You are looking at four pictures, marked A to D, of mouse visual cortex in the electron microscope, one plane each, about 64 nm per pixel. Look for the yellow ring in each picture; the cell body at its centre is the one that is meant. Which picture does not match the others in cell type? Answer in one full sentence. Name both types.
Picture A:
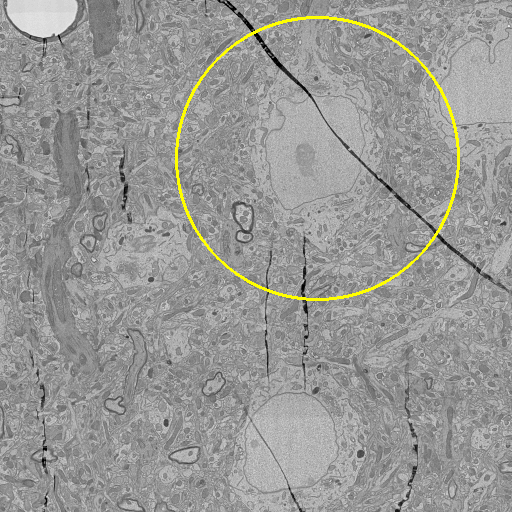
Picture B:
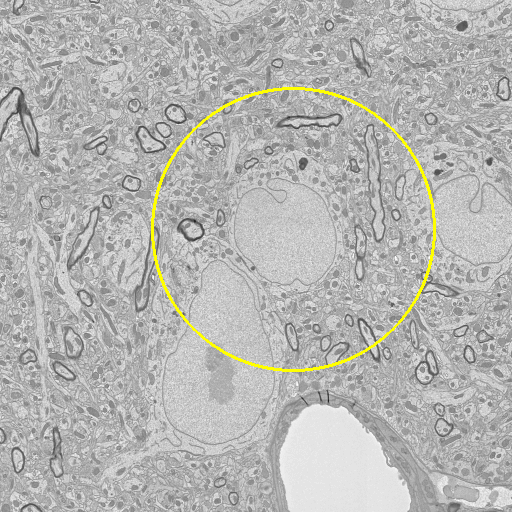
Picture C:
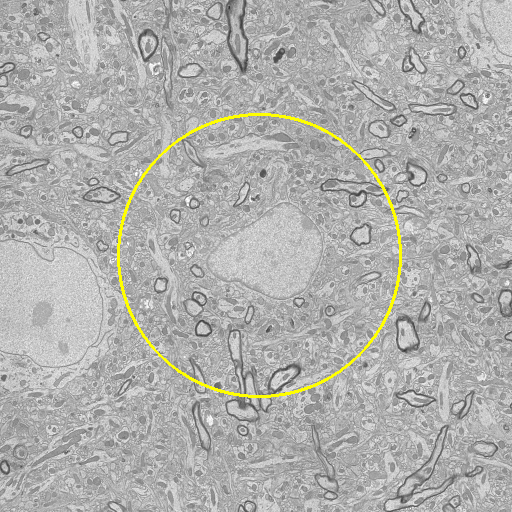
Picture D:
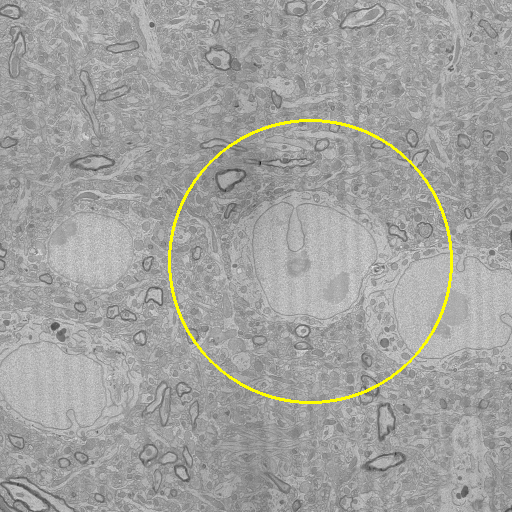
All pictures except C show excitatory neurons; picture C shows an astrocyte.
